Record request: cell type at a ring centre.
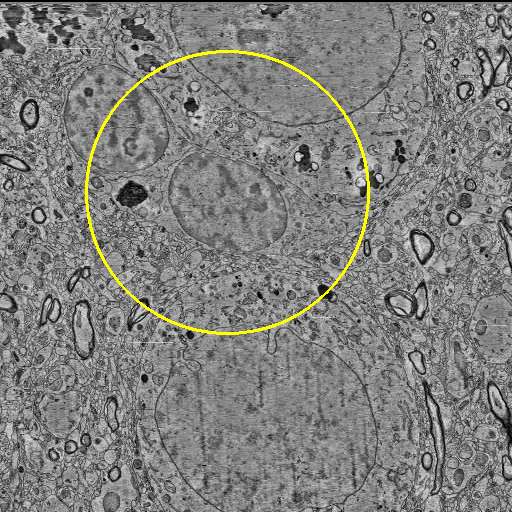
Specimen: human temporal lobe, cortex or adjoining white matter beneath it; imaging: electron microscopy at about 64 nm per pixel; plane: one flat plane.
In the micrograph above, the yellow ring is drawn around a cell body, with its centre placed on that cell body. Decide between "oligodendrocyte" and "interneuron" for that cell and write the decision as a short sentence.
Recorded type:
The cell centred in the yellow ring is an oligodendrocyte.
